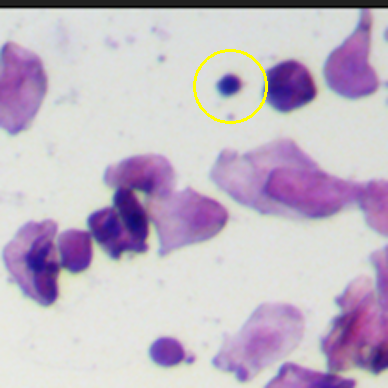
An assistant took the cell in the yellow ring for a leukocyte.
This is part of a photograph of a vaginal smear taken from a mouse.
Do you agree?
I agree, it is a leukocyte.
